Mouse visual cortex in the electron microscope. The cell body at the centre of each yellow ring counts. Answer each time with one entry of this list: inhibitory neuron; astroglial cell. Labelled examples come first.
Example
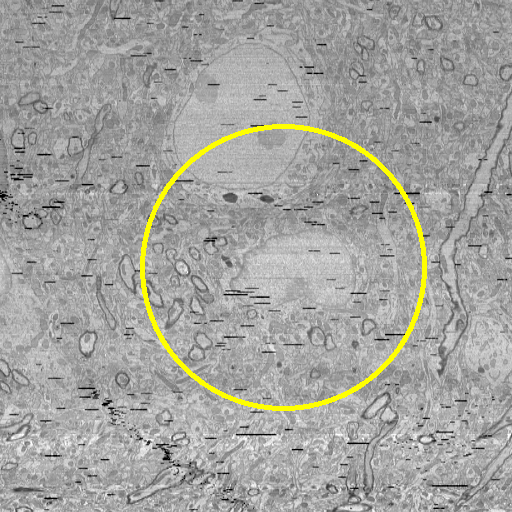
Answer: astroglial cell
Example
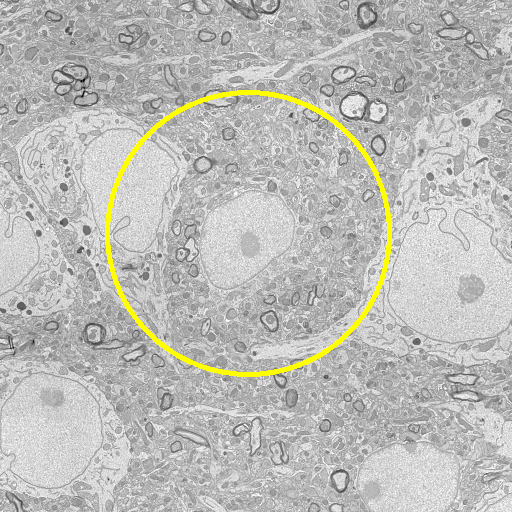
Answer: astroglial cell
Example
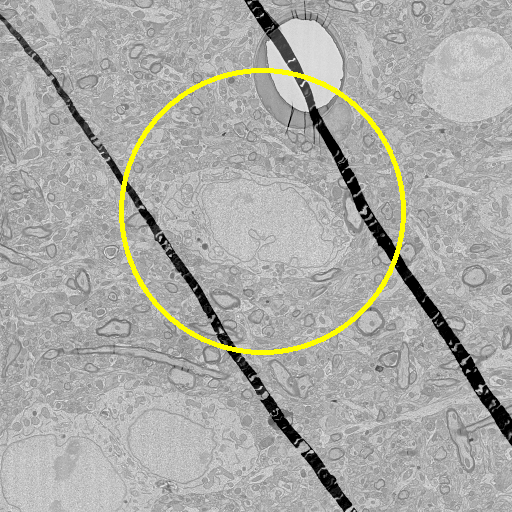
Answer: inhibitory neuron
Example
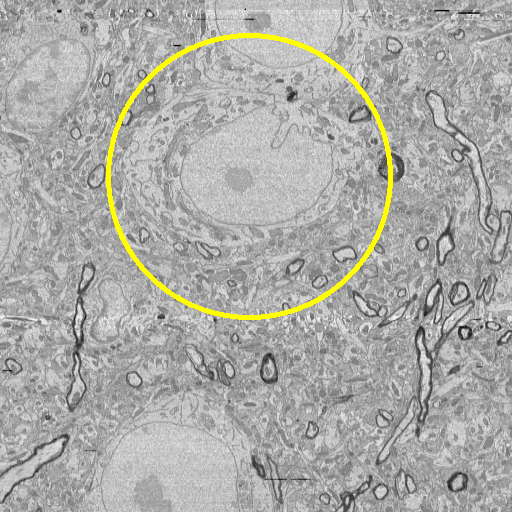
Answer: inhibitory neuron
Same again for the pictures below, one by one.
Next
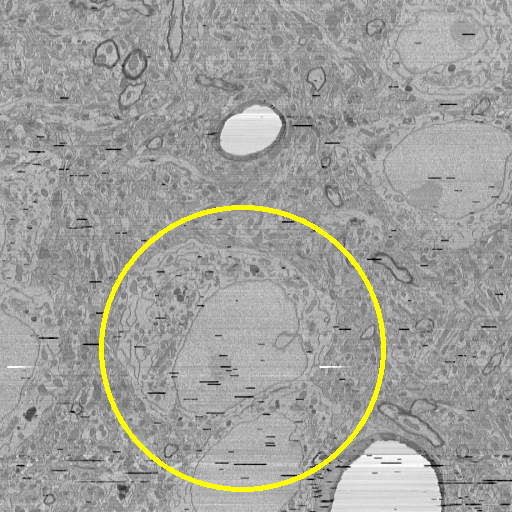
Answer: inhibitory neuron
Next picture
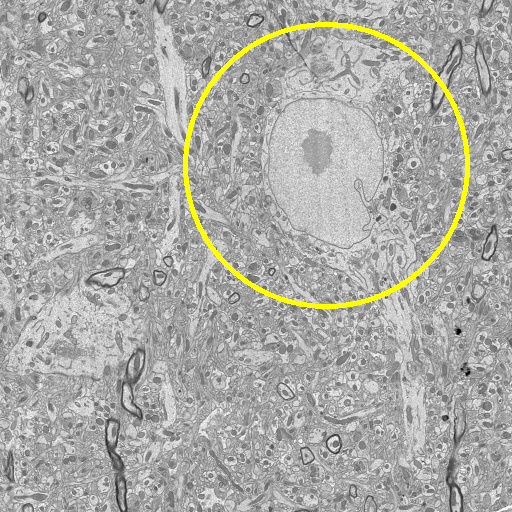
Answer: inhibitory neuron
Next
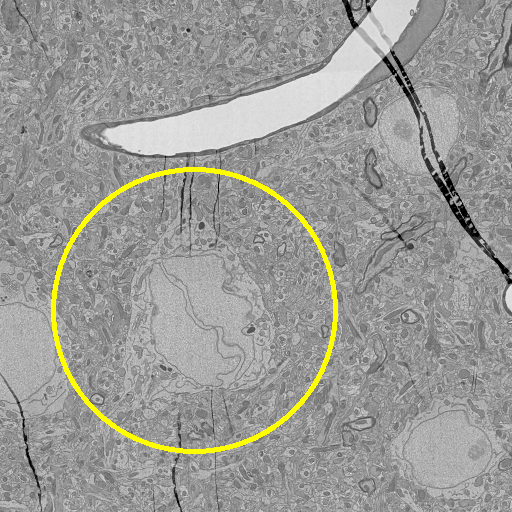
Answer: inhibitory neuron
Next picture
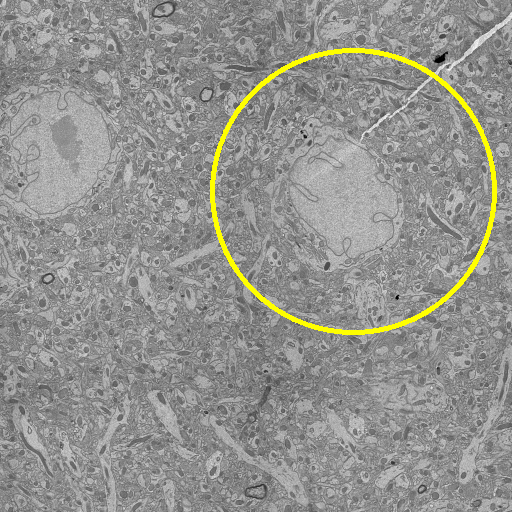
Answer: inhibitory neuron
